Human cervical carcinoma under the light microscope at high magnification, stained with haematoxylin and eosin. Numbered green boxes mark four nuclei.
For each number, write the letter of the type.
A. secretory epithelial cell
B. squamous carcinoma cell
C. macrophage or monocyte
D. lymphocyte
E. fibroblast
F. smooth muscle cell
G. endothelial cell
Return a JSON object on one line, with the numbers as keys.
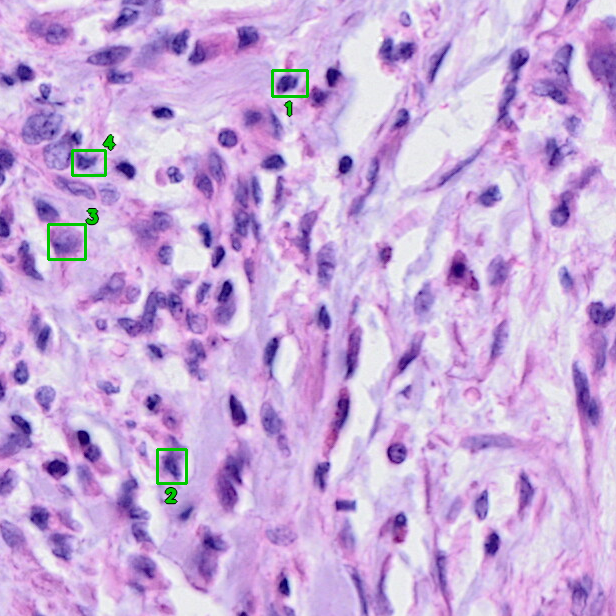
{"1": "D", "2": "D", "3": "C", "4": "D"}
